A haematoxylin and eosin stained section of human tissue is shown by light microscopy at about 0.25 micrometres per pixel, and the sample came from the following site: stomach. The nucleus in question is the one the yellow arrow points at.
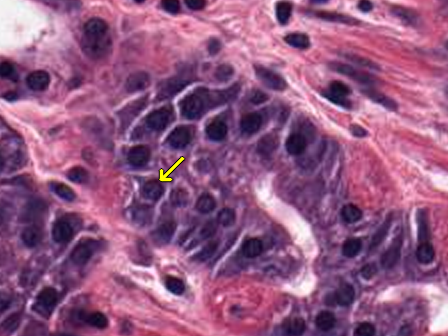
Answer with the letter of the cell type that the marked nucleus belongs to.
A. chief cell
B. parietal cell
A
